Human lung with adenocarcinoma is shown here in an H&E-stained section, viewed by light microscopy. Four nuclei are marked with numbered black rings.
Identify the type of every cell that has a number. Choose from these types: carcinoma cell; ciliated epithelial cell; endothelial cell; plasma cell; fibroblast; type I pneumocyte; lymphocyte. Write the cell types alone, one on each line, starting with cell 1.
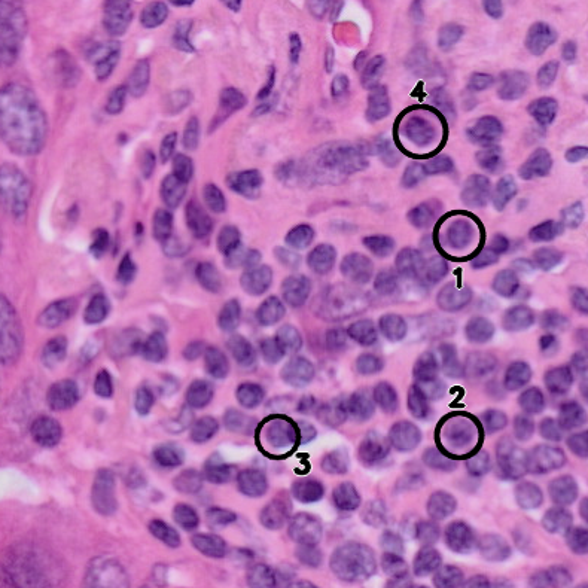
lymphocyte
lymphocyte
lymphocyte
plasma cell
